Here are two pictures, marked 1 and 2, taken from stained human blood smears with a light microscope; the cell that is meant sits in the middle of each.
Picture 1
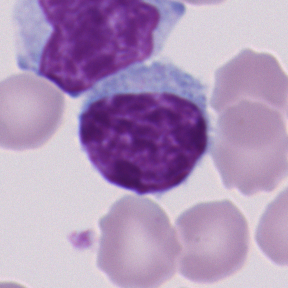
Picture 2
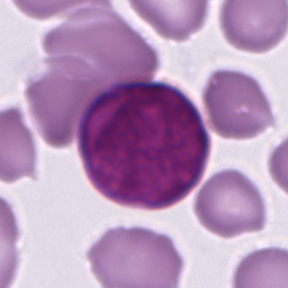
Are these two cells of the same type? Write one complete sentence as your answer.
No, they differ: the cell is a typical lymphocyte in picture 1 and a myeloblast in picture 2.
